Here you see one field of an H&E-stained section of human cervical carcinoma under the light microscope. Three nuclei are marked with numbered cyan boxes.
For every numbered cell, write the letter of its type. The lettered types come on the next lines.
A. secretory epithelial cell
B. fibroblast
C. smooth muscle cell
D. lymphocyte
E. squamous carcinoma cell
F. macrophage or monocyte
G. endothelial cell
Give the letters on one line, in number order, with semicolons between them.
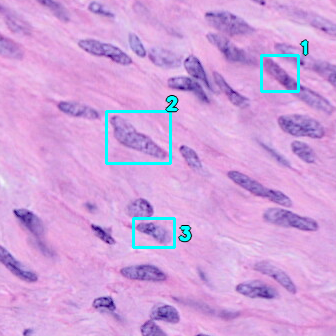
C; B; B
